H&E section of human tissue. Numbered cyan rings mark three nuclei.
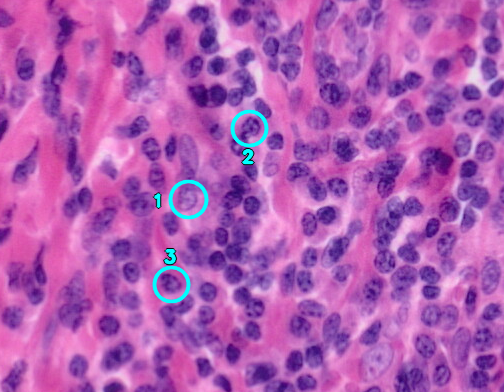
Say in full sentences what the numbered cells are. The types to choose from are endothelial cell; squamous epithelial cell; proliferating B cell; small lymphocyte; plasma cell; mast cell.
Cell 1 is an endothelial cell, cell 2 is a plasma cell and cell 3 is a plasma cell.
